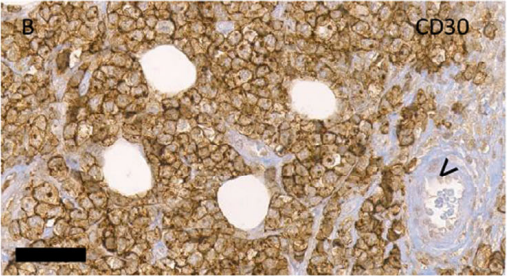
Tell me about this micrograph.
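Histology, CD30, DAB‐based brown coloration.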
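Here a sheet of large lymphoma cells is stained so that nearly every cell is outlined in strong brown. The brown sits on the cell borders, giving a crowded honeycomb of rings, while the nuclei inside show through paler or blue. Between groups of cells run thin pale-blue strands of connective tissue, which stay unstained. Round clear spaces lie scattered in the sheet. To the right, a small blood vessel holds a few red blood cells, tiny beside the lymphoma cells, which shows how large the tumour cells are.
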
